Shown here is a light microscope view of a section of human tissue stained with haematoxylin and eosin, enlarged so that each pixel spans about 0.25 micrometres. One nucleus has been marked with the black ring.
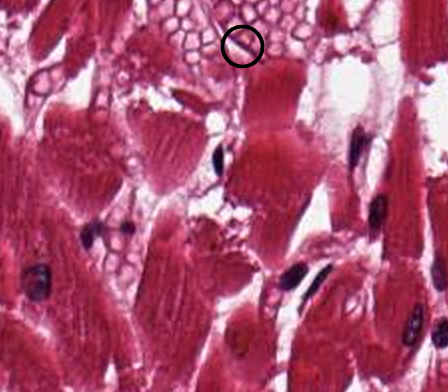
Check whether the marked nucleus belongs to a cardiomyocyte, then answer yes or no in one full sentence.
No, the marked nucleus belongs to a supporting cell, not to a cardiomyocyte.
